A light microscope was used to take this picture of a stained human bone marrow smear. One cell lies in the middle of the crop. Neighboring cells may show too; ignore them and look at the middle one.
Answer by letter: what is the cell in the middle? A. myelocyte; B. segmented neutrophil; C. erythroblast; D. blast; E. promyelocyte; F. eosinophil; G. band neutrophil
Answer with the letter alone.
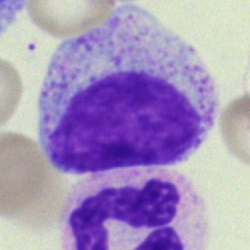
A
